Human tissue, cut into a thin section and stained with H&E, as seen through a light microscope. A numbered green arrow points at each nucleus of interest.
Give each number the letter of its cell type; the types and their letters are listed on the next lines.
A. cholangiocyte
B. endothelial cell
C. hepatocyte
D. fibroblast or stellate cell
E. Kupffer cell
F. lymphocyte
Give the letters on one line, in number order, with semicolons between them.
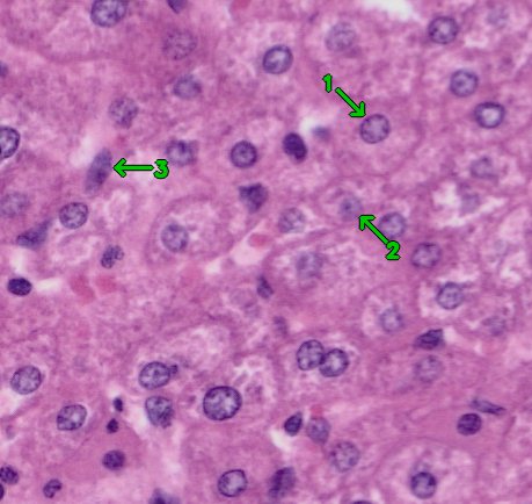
C; C; E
